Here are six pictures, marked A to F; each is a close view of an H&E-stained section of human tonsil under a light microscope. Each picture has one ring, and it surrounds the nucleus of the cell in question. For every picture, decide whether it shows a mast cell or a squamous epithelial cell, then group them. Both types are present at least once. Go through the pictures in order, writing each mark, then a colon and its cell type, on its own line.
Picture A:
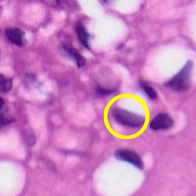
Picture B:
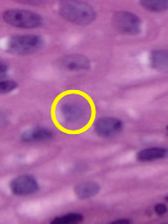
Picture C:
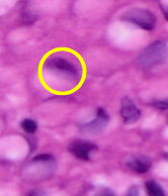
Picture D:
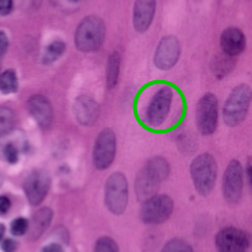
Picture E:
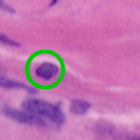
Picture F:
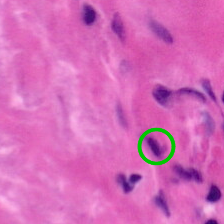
A: squamous epithelial cell
B: squamous epithelial cell
C: squamous epithelial cell
D: squamous epithelial cell
E: mast cell
F: mast cell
